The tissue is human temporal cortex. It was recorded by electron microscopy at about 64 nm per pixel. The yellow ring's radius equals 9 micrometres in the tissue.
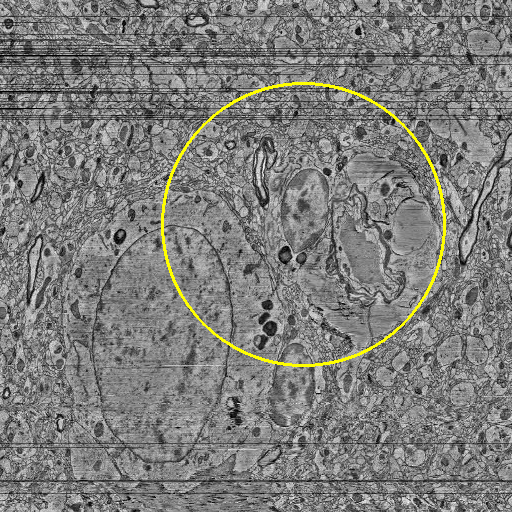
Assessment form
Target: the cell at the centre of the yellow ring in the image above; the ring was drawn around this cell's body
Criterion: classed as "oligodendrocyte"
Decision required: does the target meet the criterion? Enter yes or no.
no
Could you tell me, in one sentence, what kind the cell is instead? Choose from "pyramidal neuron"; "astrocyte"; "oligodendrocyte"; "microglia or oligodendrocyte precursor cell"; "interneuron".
Instead, the cell at the centre of the yellow ring is a microglial cell or oligodendrocyte precursor cell.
